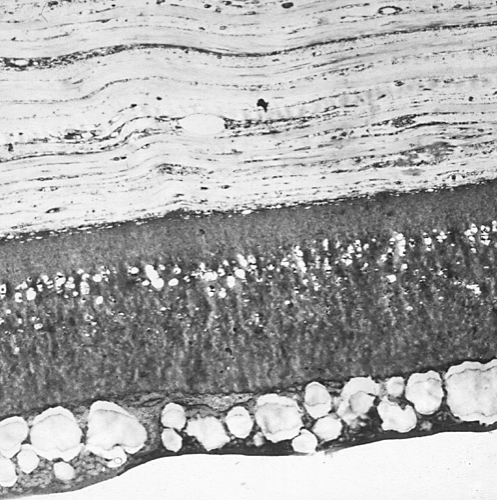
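This electron micrograph shows three layers of the cornea: the deep corneal stroma at the top, Descemet membrane in the middle and the corneal endothelium at the bottom. The stroma consists of stacked, parallel, gently wavy lamellae with scattered flattened dark profiles between them. Descemet membrane is a broad, dark, fairly homogeneous band. Within it runs a distinct band of small pale vacuoles parallel to its surfaces. The endothelium along the lower edge is a thin cell layer.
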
